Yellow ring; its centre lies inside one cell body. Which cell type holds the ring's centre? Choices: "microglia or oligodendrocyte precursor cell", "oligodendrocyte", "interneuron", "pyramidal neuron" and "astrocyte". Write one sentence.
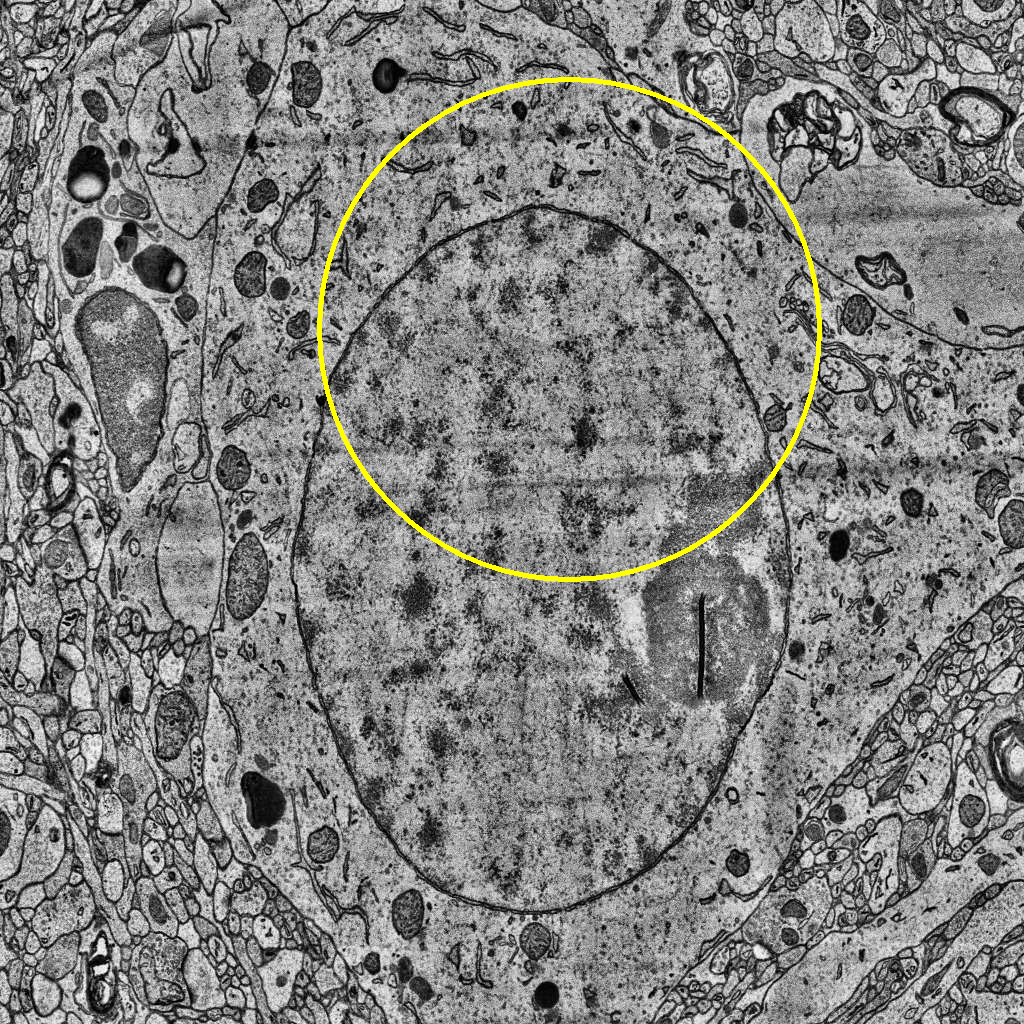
At the centre of the ring sits a pyramidal neuron.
